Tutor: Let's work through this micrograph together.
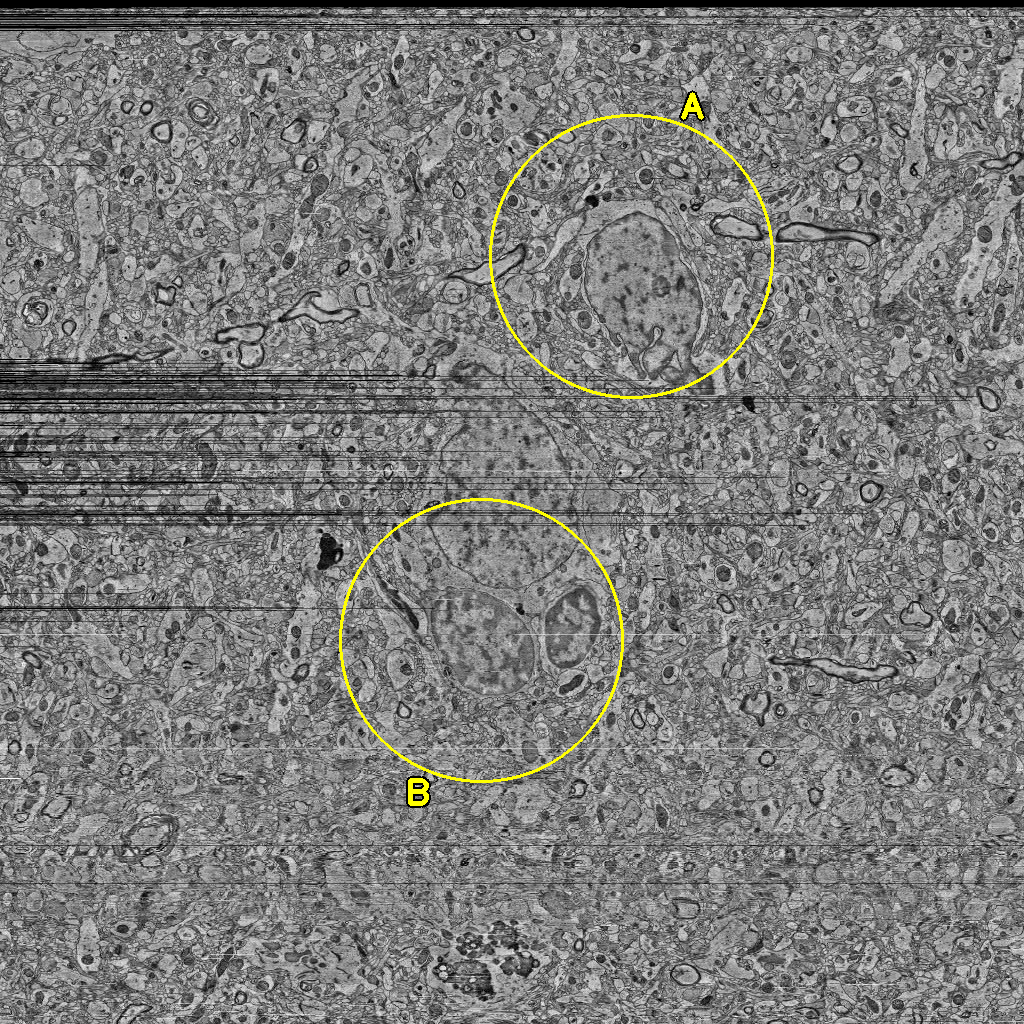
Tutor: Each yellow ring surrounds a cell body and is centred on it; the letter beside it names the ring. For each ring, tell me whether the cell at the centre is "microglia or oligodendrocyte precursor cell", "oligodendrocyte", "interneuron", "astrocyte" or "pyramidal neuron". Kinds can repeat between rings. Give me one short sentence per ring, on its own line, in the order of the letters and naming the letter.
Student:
The ring labelled A is centred on a microglial cell or oligodendrocyte precursor cell.
The ring labelled B is centred on an oligodendrocyte.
